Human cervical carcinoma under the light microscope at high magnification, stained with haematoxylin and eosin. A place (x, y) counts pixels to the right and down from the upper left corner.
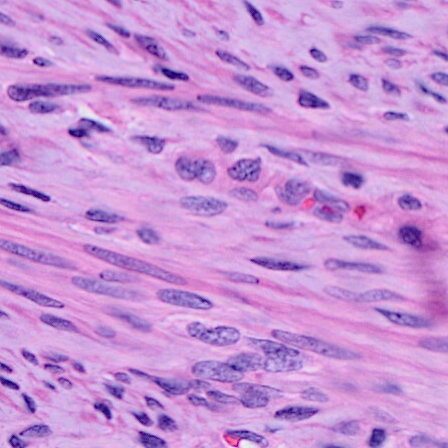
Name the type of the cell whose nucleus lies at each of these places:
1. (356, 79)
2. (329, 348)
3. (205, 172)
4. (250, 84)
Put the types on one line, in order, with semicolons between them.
smooth muscle cell; smooth muscle cell; endothelial cell; smooth muscle cell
